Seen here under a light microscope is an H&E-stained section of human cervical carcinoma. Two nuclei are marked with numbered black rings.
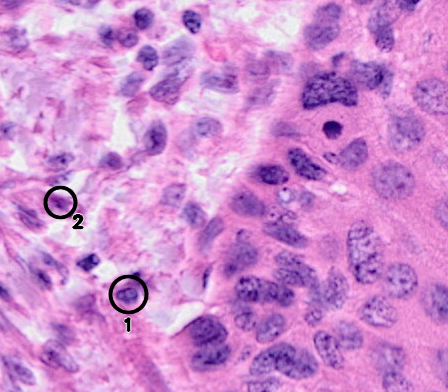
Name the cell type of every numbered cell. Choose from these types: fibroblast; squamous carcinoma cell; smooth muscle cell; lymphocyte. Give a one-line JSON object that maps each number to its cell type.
{"1": "lymphocyte", "2": "fibroblast"}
